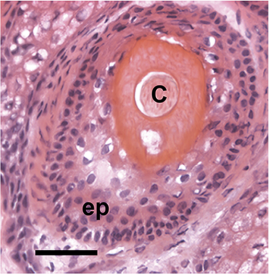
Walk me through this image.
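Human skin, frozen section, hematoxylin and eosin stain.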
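A normal hair follicle cut in cross-section. At the centre lies a compact, anucleate, orange-pink keratinized core, the cortex, with a small clear space within it. The outermost layer has more crowded, darker nuclei. Outside the follicle lies loose connective tissue with scattered nuclei and some pale, clear spaces.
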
